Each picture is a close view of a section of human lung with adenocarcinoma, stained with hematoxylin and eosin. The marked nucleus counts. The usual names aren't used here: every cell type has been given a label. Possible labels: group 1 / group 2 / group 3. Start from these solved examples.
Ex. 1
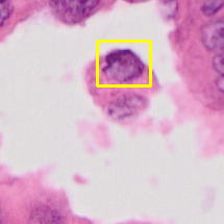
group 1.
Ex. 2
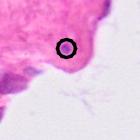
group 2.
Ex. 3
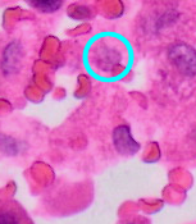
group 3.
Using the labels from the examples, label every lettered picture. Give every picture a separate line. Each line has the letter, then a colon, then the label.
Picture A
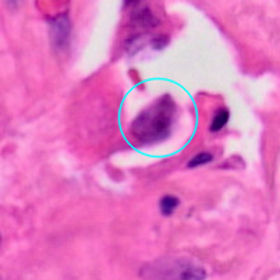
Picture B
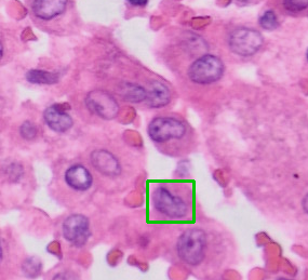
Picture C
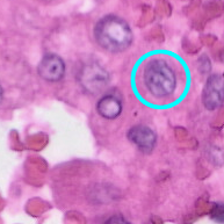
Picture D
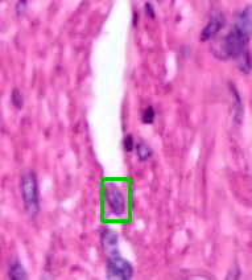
A: group 1.
B: group 3.
C: group 3.
D: group 2.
